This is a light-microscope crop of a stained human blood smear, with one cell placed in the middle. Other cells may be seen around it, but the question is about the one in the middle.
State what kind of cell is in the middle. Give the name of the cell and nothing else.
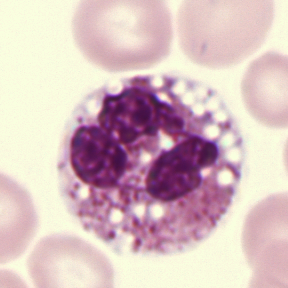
eosinophil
